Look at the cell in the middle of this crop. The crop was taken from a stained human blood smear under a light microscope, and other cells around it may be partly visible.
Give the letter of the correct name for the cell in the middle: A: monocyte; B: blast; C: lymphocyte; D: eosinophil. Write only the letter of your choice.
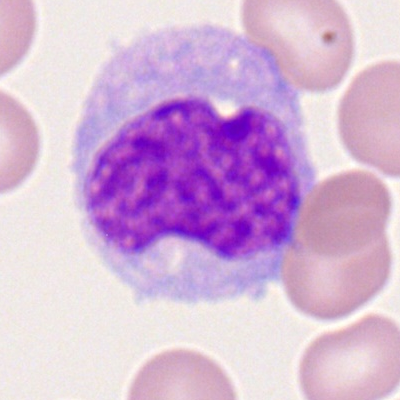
A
